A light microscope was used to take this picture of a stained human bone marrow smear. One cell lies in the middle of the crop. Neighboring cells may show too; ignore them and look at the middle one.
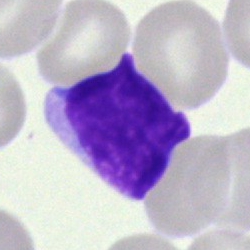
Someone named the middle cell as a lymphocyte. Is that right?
no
